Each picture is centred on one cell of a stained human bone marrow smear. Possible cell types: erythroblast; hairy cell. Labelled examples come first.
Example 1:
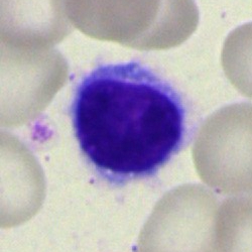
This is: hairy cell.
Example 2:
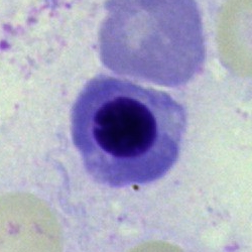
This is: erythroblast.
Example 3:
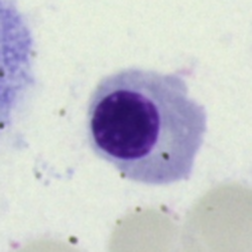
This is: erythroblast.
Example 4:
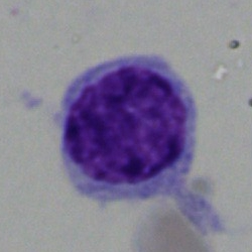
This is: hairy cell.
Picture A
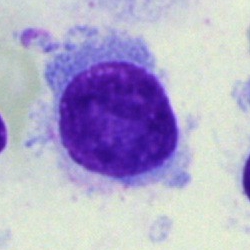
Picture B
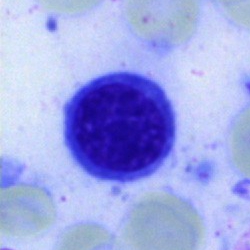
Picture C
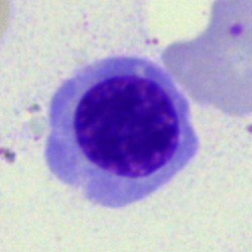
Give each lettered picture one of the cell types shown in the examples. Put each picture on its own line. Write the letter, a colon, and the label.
A: hairy cell.
B: erythroblast.
C: erythroblast.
